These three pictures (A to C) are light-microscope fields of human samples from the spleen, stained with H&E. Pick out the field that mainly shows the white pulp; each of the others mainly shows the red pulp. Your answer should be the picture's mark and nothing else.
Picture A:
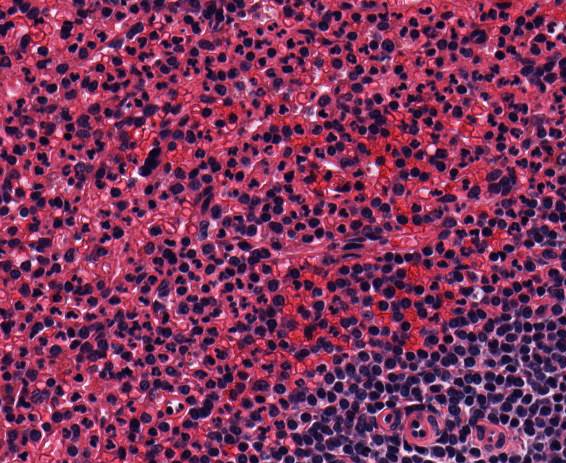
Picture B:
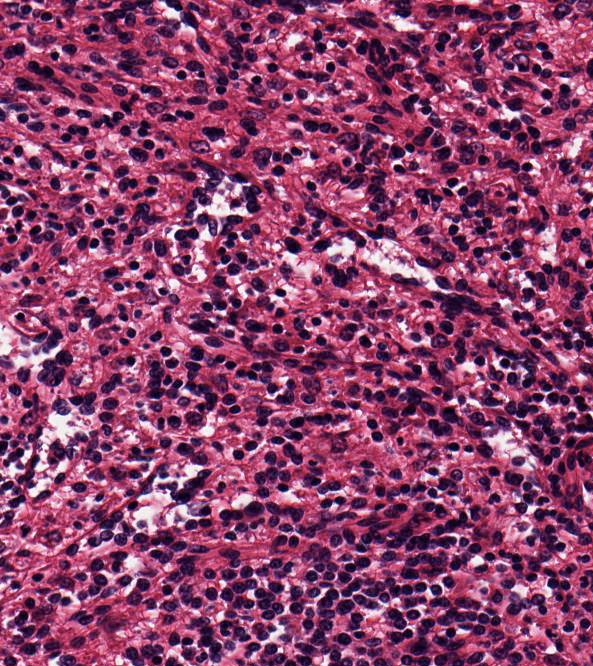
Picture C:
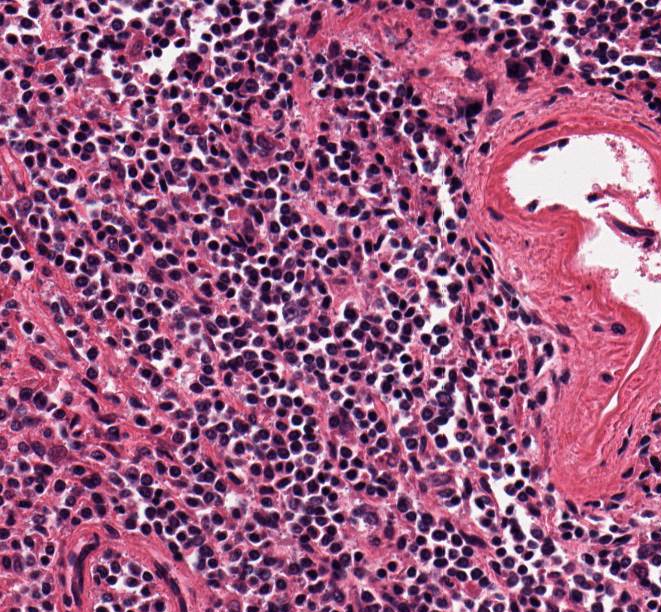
C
